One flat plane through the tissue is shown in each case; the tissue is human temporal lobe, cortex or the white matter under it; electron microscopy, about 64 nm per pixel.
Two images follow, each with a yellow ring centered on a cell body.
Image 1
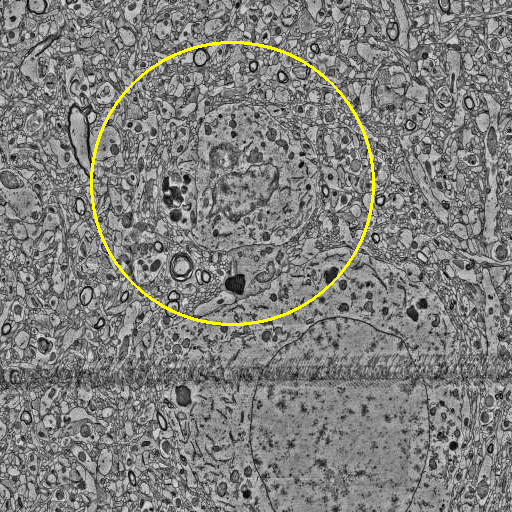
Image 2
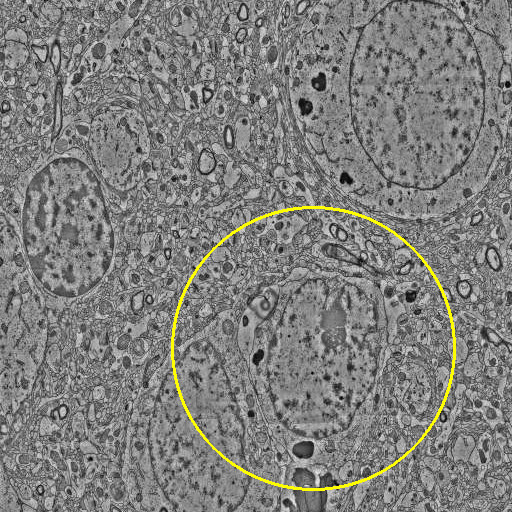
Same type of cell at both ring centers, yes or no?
yes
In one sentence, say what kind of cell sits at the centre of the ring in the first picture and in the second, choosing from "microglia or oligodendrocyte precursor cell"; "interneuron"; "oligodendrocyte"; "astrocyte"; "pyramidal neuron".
Both pictures show an interneuron at the centre of the ring.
